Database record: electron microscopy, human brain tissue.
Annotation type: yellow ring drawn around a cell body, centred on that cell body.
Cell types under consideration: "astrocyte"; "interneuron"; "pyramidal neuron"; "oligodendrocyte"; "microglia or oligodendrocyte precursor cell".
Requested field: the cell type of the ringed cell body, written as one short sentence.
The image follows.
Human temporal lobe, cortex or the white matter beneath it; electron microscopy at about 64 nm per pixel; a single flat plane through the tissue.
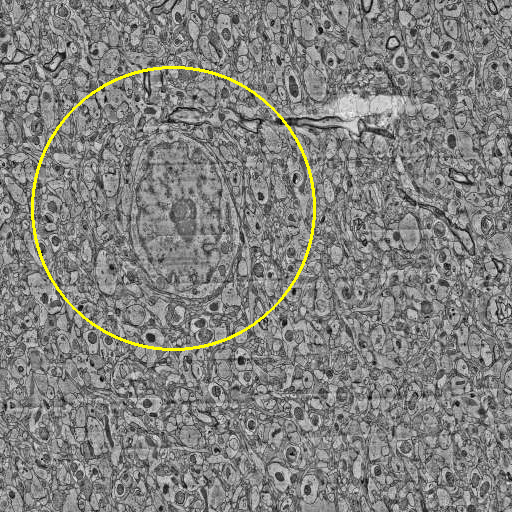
The ringed cell body represents an interneuron.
